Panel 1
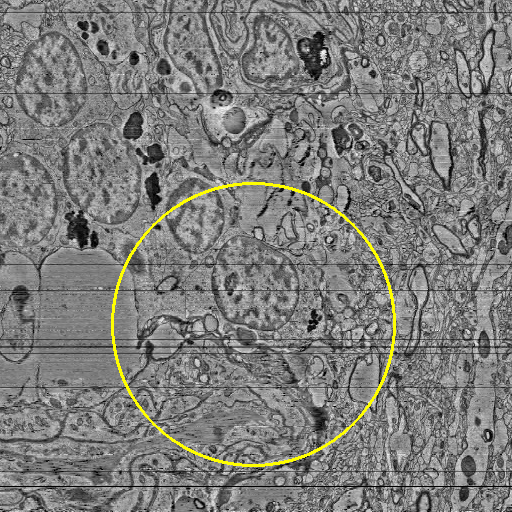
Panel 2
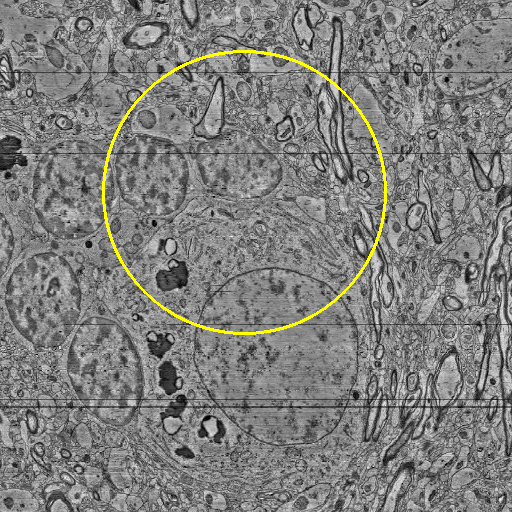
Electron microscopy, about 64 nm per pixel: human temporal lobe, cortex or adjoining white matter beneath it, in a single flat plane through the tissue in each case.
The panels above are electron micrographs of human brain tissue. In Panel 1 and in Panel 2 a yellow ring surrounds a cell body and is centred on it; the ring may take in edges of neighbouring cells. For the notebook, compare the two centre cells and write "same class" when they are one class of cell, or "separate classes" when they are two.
same class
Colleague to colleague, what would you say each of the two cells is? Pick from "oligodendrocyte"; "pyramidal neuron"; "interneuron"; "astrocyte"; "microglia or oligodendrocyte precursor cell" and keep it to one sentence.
Each cell at the centre of a ring is an oligodendrocyte.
